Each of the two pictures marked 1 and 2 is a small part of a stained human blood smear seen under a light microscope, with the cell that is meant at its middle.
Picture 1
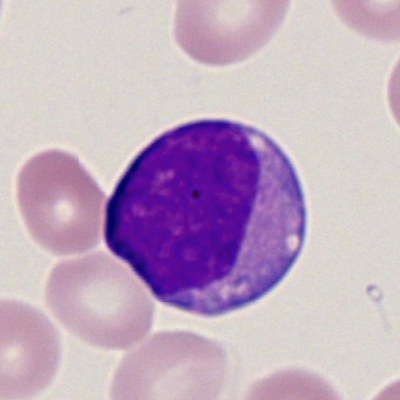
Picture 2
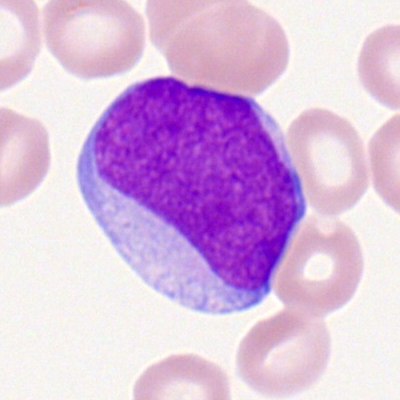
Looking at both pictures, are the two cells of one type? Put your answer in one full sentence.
Yes; the cells in both pictures are myeloblasts.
